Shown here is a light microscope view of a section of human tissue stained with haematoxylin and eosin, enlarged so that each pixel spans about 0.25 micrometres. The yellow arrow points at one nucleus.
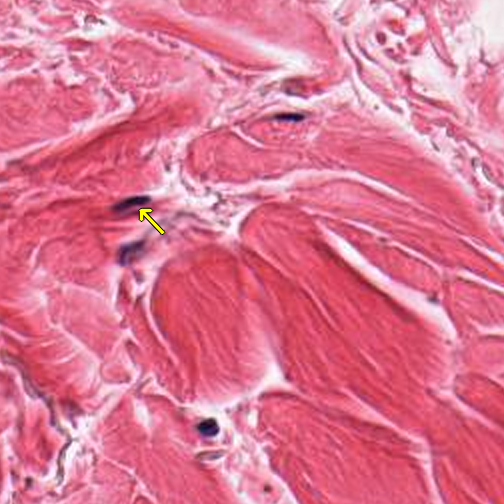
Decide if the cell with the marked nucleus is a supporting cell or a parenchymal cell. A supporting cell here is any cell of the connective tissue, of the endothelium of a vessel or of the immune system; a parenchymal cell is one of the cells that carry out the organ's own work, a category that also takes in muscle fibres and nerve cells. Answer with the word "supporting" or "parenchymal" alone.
supporting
